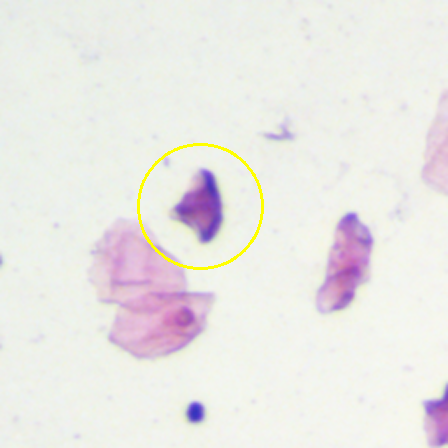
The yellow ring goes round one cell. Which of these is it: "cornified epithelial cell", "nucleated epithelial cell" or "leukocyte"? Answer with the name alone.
cornified epithelial cell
